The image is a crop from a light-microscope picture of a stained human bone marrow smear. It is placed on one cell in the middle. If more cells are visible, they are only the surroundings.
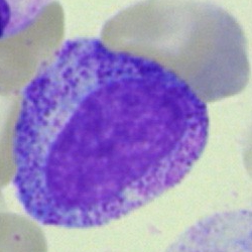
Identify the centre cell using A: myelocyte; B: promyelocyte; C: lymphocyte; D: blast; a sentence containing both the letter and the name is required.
The cell occupying the centre is a promyelocyte; option B is thus the correct choice.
